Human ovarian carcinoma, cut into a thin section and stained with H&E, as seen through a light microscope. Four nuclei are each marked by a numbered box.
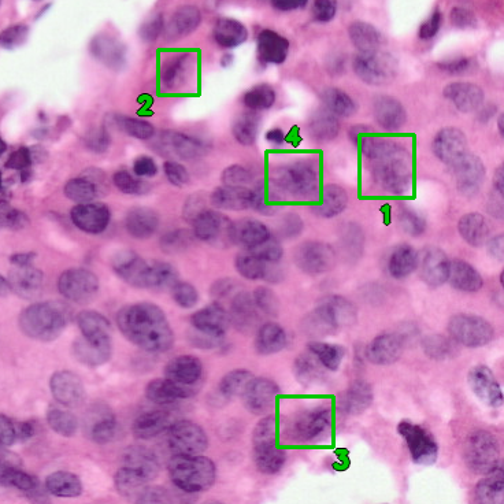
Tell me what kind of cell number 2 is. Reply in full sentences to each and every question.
The marked nucleus 2 is that of an endothelial cell.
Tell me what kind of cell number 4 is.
Cell number 4 in this section is a carcinoma cell.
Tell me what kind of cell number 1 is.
Cell 1, as marked in the section, is a carcinoma cell.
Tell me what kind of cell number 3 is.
The cell identified by the number 3 is a carcinoma cell.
